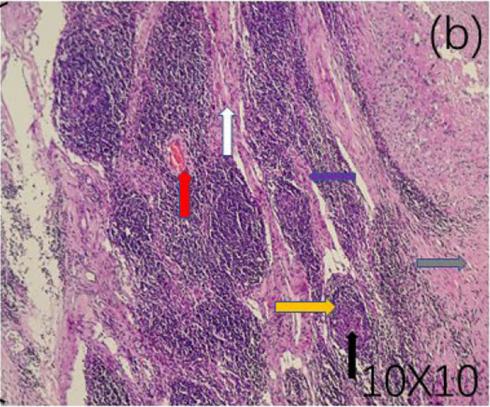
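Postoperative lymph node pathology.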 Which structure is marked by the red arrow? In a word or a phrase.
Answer: Blood vessels.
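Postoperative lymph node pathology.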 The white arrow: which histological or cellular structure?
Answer: Fibrous structures.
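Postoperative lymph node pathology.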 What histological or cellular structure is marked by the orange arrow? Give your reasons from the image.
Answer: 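The orange arrow points to a rounded cluster of densely packed dark-purple small cells. The cluster is set apart from its surroundings by pale pink strands.
Lymphoid follicles.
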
